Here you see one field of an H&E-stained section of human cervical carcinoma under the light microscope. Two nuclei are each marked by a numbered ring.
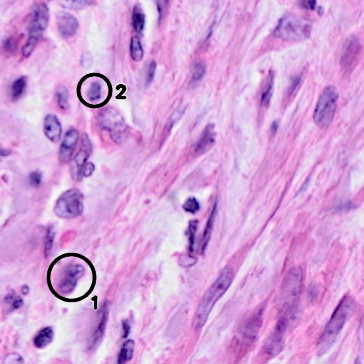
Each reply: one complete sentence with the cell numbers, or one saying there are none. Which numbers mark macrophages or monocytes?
Of all the cells bearing numbers, cell 1 is the only one that is a macrophage or monocyte.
